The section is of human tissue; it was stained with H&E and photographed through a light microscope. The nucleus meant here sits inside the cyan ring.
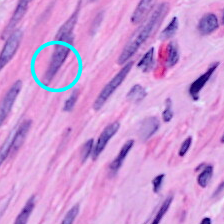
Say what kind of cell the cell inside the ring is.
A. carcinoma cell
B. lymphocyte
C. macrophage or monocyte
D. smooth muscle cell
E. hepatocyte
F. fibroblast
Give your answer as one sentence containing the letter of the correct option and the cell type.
With the cell inside the ring being a smooth muscle cell, option D is correct.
